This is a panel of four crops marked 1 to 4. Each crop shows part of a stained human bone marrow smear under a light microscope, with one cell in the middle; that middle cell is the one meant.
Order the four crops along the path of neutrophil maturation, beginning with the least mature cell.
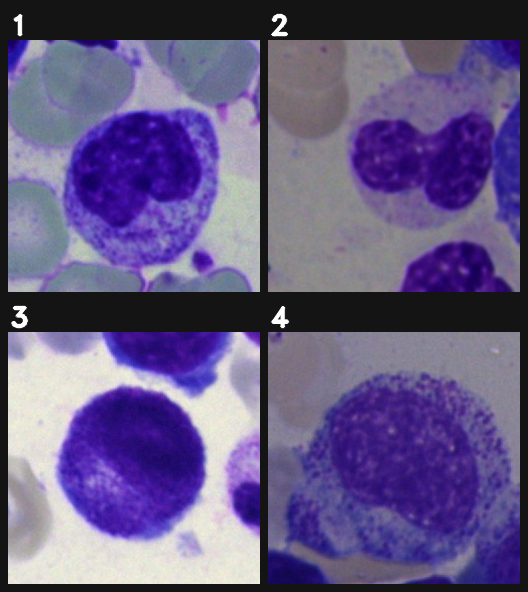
3, 4, 1, 2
